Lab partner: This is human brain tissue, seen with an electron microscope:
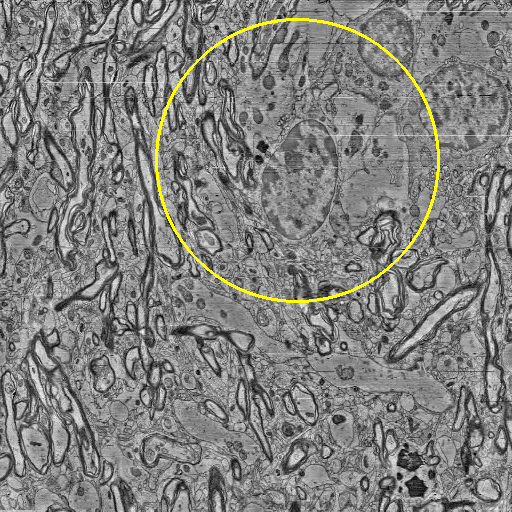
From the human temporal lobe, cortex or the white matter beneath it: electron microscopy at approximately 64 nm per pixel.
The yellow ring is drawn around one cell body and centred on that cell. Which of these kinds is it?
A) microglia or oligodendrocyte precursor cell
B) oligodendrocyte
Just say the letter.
A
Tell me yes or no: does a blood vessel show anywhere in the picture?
Yes, there is one.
